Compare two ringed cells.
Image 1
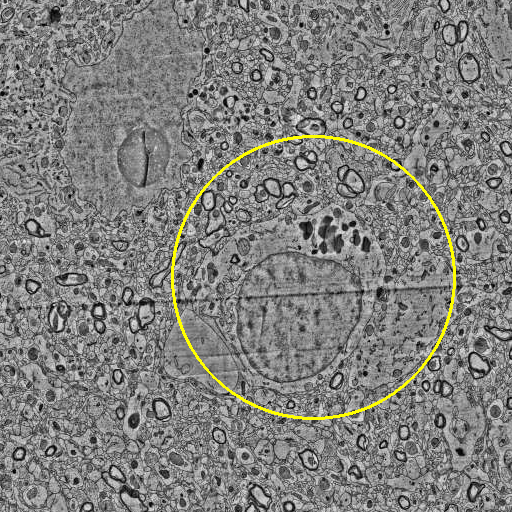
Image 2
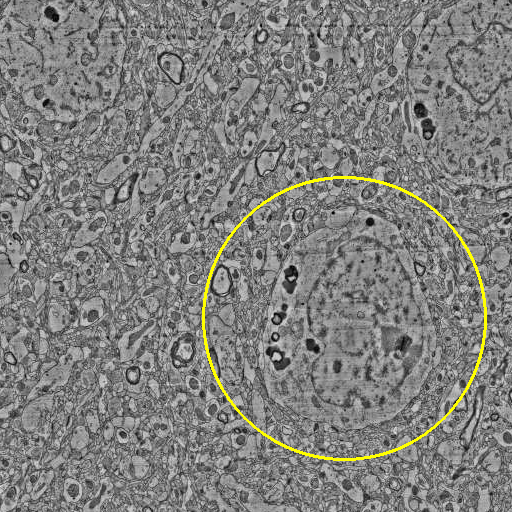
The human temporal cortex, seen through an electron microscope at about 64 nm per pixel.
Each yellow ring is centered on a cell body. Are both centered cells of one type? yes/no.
yes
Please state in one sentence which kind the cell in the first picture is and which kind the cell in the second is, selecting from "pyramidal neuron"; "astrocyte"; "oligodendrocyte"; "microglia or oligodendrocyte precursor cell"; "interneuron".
In each picture the ringed cell is an interneuron.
